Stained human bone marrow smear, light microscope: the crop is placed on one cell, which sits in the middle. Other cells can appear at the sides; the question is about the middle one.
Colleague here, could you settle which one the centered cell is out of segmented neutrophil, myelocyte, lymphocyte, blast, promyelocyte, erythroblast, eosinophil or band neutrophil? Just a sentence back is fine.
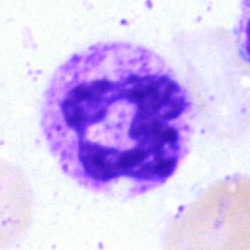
The crop's centre is taken up by a segmented neutrophil.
